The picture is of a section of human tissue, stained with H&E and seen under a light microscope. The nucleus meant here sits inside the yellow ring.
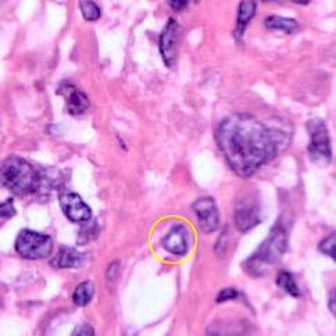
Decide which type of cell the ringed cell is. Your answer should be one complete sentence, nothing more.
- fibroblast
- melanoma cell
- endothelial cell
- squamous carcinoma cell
As far as its identity is concerned, the ringed cell is an endothelial cell.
